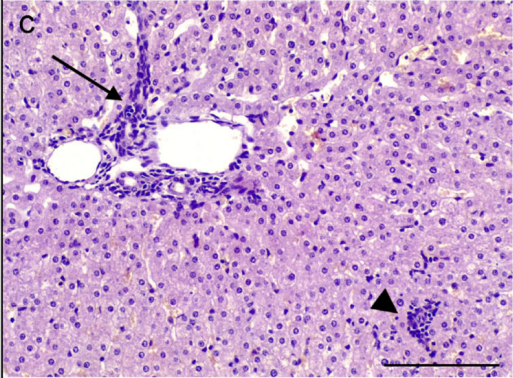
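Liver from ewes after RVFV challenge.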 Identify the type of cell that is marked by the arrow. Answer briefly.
mononuclear cells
